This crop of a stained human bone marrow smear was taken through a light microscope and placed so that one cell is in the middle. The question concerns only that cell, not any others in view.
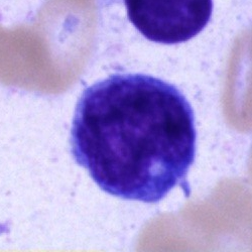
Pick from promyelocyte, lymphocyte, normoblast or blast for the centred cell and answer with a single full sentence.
The central cell shown in this smear crop is a blast.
